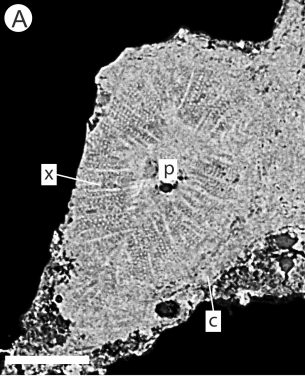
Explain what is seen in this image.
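The xylem appears as a fine, regular grid of cells arranged in radial rows, with brighter radiating lines crossing it. Along the lower edge the outer cortex is darker and irregular, with coarse, partly disrupted cells.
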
